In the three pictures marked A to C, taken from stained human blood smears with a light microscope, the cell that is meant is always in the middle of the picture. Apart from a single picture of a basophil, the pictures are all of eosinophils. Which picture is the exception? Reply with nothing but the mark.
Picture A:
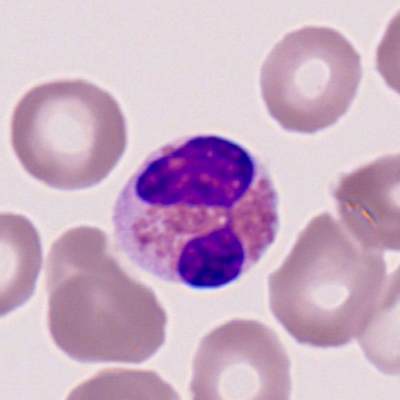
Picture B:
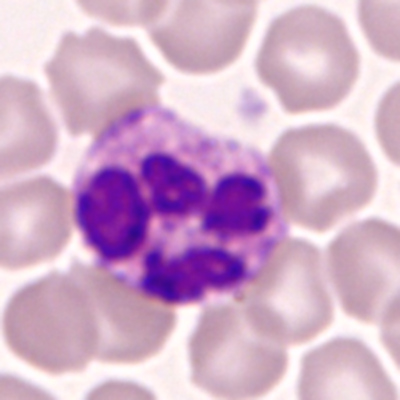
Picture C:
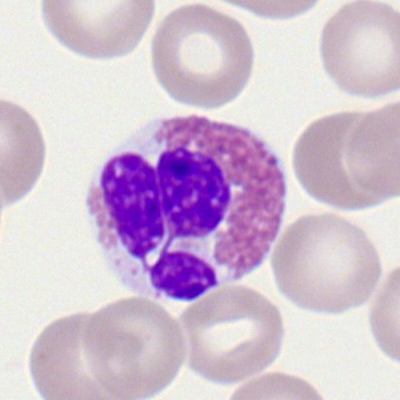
B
